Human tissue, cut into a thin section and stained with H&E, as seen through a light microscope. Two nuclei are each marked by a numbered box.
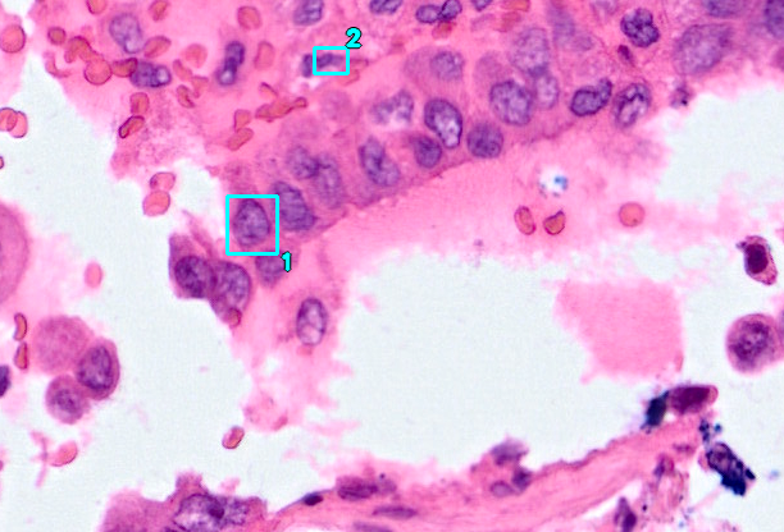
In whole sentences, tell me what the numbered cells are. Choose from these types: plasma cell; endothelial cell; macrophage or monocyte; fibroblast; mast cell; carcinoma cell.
Cell 1 is a carcinoma cell and cell 2 is a macrophage or monocyte.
